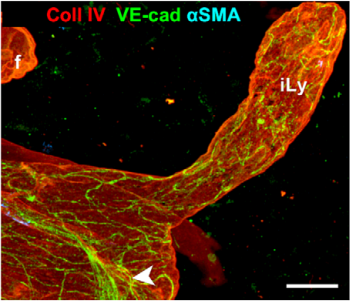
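A narrow, blind-ending tube rises to the upper right from a broader vessel at the lower left. At the lower left, green lines converge into a fold inside the broader vessel where an arrowhead points. A small rounded body sits at the upper left corner.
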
